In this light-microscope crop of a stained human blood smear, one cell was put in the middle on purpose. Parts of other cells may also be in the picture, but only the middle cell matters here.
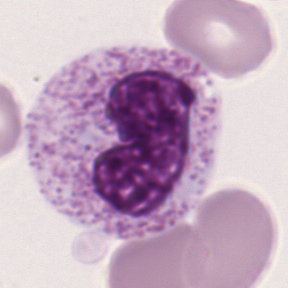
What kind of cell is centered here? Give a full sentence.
Centred in the crop is a band neutrophil.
